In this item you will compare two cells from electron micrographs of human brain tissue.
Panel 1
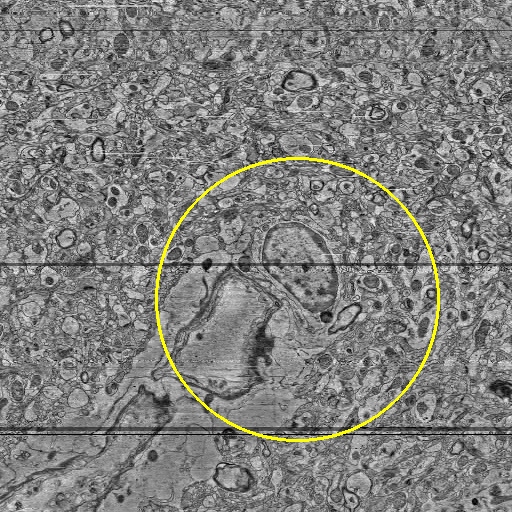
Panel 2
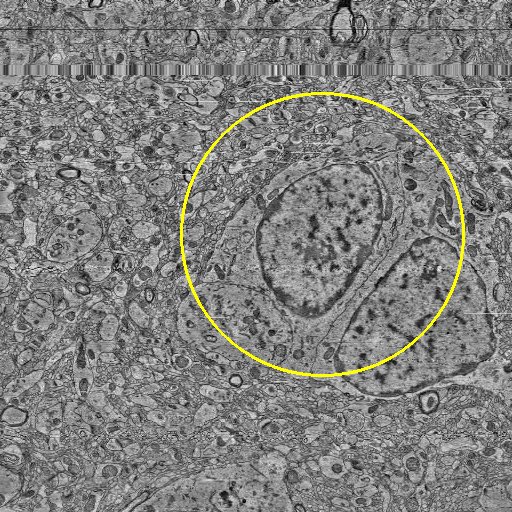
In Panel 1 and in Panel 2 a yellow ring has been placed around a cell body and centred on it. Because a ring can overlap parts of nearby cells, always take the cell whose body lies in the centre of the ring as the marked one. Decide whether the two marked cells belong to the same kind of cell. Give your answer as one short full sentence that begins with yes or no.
Yes, the two marked cells belong to the same kind of cell.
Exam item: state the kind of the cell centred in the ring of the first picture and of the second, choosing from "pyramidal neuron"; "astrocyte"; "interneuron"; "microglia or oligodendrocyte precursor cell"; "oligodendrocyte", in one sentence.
Each of the two cells is a microglial cell or oligodendrocyte precursor cell.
